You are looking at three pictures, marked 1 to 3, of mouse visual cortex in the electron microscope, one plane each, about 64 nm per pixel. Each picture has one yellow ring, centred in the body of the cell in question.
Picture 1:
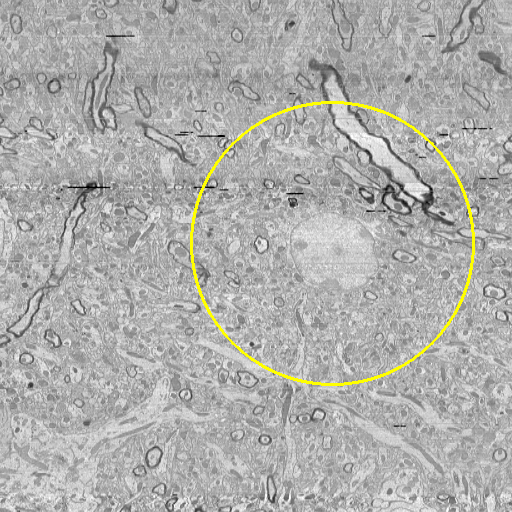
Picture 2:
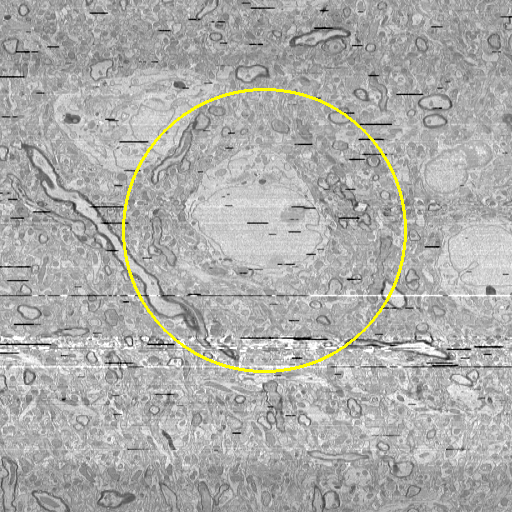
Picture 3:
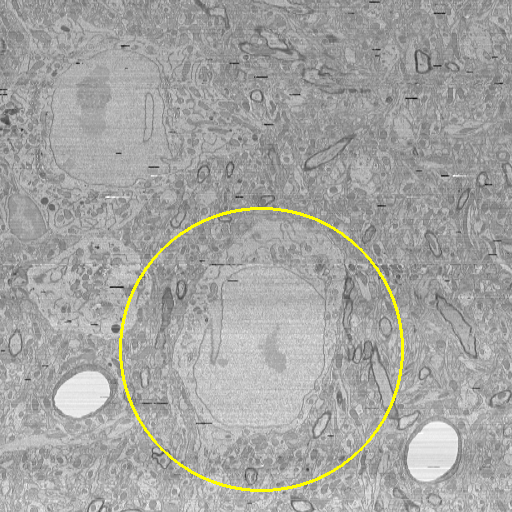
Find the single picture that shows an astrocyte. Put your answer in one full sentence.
It is picture 1 that shows the astrocyte.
